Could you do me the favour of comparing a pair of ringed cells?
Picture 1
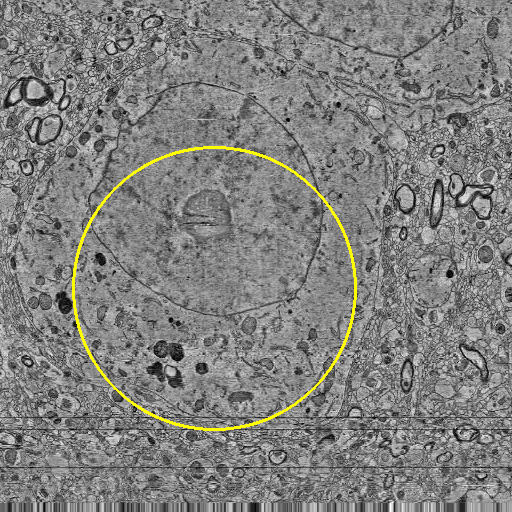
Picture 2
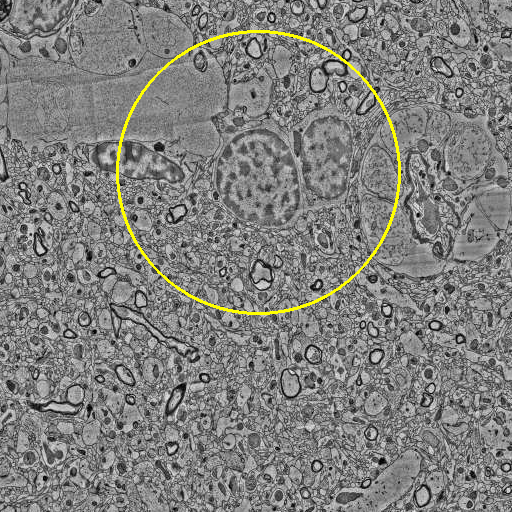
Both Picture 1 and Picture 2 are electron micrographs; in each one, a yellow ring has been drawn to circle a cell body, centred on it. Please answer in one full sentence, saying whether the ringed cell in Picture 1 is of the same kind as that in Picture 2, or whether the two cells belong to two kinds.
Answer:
The ringed cells in Picture 1 and Picture 2 belong to two kinds.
